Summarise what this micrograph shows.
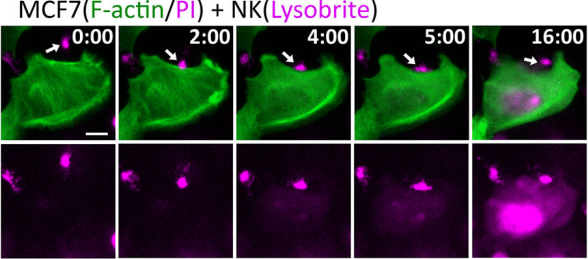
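A small magenta spot, the attacking lymphocyte, sits at the upper margin of the cell. In successive frames the stress fibres fade and the green becomes more diffuse. In the final frame diffuse magenta fills the cell, with an intense central mass at the position of the nucleus.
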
